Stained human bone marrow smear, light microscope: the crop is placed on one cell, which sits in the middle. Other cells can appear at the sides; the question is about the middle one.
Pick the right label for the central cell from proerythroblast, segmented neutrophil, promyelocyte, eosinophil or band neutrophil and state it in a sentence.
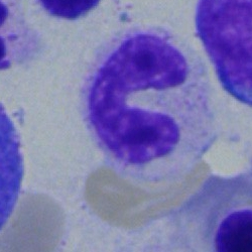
In short, the cell at the center is a band neutrophil.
